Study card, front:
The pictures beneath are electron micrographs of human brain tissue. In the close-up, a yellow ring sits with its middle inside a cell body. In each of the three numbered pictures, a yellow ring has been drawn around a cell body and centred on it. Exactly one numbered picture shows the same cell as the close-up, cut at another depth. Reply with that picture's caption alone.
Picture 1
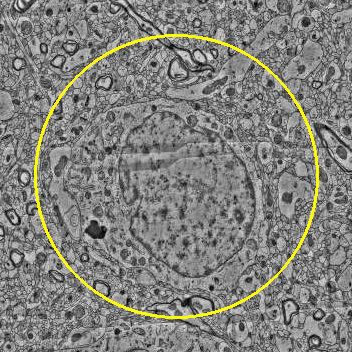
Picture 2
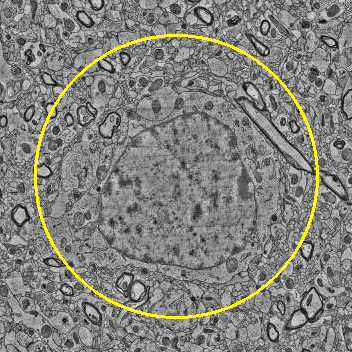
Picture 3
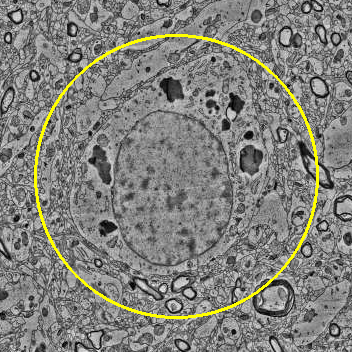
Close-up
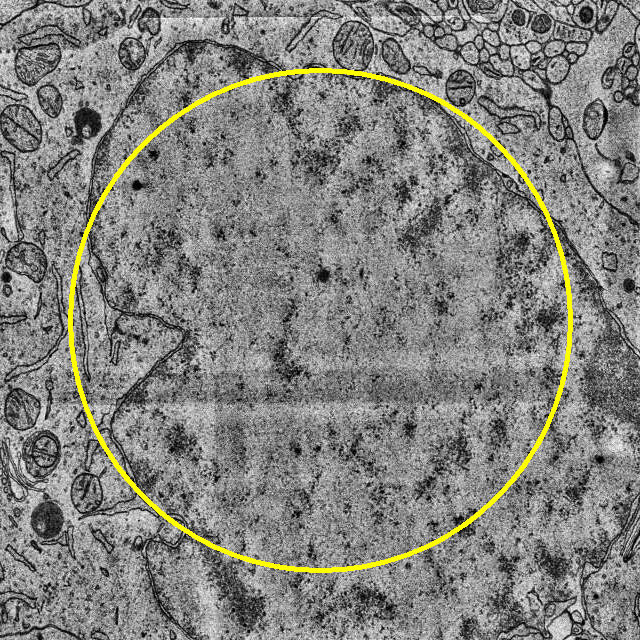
Picture 1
